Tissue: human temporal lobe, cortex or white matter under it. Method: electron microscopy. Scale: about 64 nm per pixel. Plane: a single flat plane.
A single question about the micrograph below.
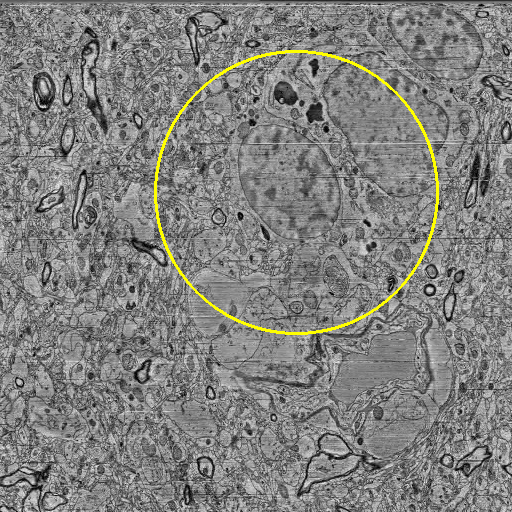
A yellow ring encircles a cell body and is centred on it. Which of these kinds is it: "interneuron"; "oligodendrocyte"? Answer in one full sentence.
The cell body at the centre of the yellow ring belongs to an oligodendrocyte.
